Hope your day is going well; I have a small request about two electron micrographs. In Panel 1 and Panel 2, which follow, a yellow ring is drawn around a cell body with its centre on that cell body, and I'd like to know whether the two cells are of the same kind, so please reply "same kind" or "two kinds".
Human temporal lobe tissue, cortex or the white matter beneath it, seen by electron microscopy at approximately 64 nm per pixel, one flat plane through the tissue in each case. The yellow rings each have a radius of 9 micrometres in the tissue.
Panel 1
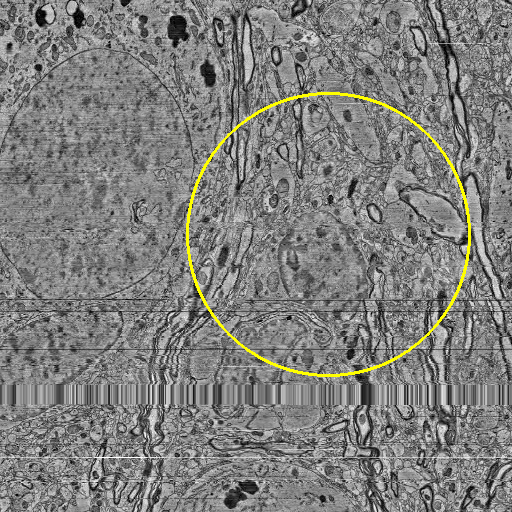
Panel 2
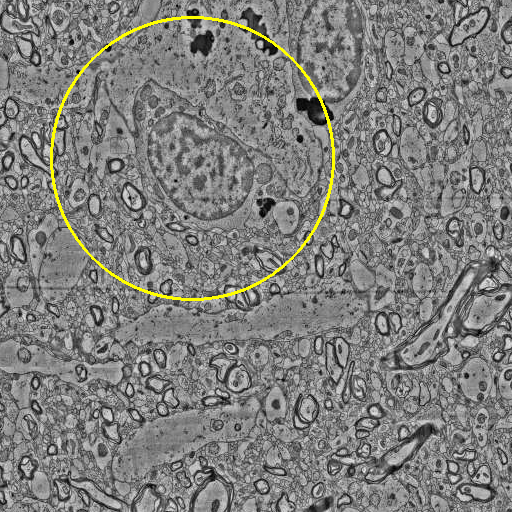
same kind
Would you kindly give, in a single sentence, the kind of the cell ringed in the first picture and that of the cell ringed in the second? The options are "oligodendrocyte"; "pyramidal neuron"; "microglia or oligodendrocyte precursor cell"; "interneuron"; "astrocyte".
In each picture the ringed cell is an oligodendrocyte.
